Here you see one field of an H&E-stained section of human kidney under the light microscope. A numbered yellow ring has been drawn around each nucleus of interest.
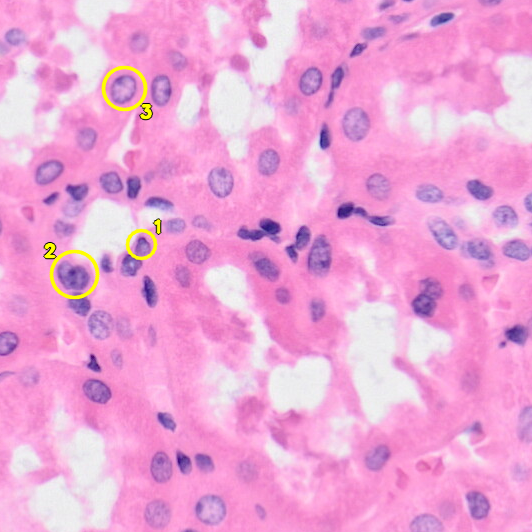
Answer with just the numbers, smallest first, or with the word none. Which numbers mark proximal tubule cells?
3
